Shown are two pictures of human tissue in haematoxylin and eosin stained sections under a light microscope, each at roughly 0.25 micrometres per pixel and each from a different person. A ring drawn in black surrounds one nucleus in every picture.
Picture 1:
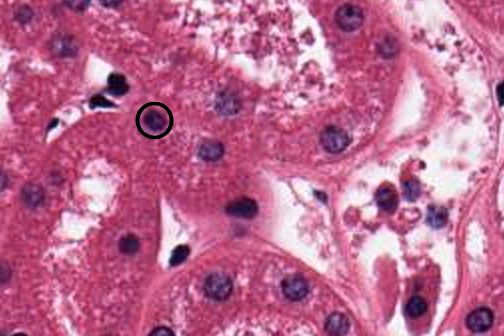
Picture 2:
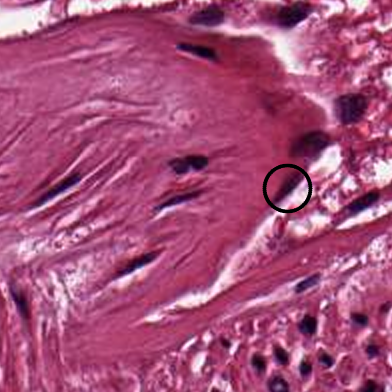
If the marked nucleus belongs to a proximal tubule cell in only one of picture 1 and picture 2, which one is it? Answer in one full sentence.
The marked nucleus in picture 1 belongs to a proximal tubule cell.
